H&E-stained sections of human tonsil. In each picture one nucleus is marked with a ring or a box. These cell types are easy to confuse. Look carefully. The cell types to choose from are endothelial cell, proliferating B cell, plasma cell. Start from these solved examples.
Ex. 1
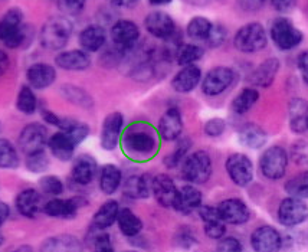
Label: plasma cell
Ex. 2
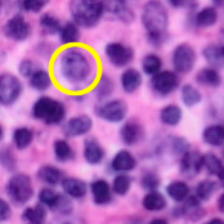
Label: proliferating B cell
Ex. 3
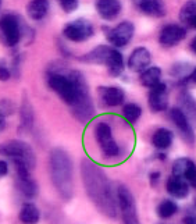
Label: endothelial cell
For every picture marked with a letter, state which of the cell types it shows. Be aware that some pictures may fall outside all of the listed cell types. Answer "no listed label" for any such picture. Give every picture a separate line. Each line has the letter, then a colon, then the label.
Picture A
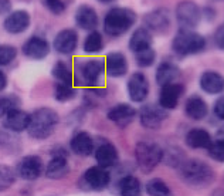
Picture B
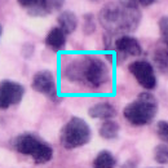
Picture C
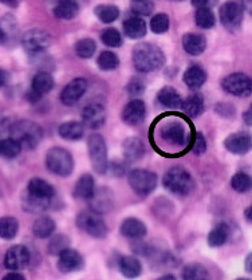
A: no listed label
B: proliferating B cell
C: plasma cell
